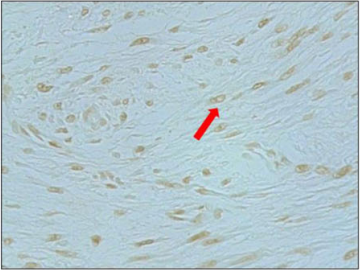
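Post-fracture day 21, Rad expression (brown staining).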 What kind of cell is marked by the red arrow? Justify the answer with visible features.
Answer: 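Spindle-shaped cells with elongated brown-tinged nuclei. Cells scattered in a loose, pale fibrous background. That points to this answer: fibroblast-like spindle cells.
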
